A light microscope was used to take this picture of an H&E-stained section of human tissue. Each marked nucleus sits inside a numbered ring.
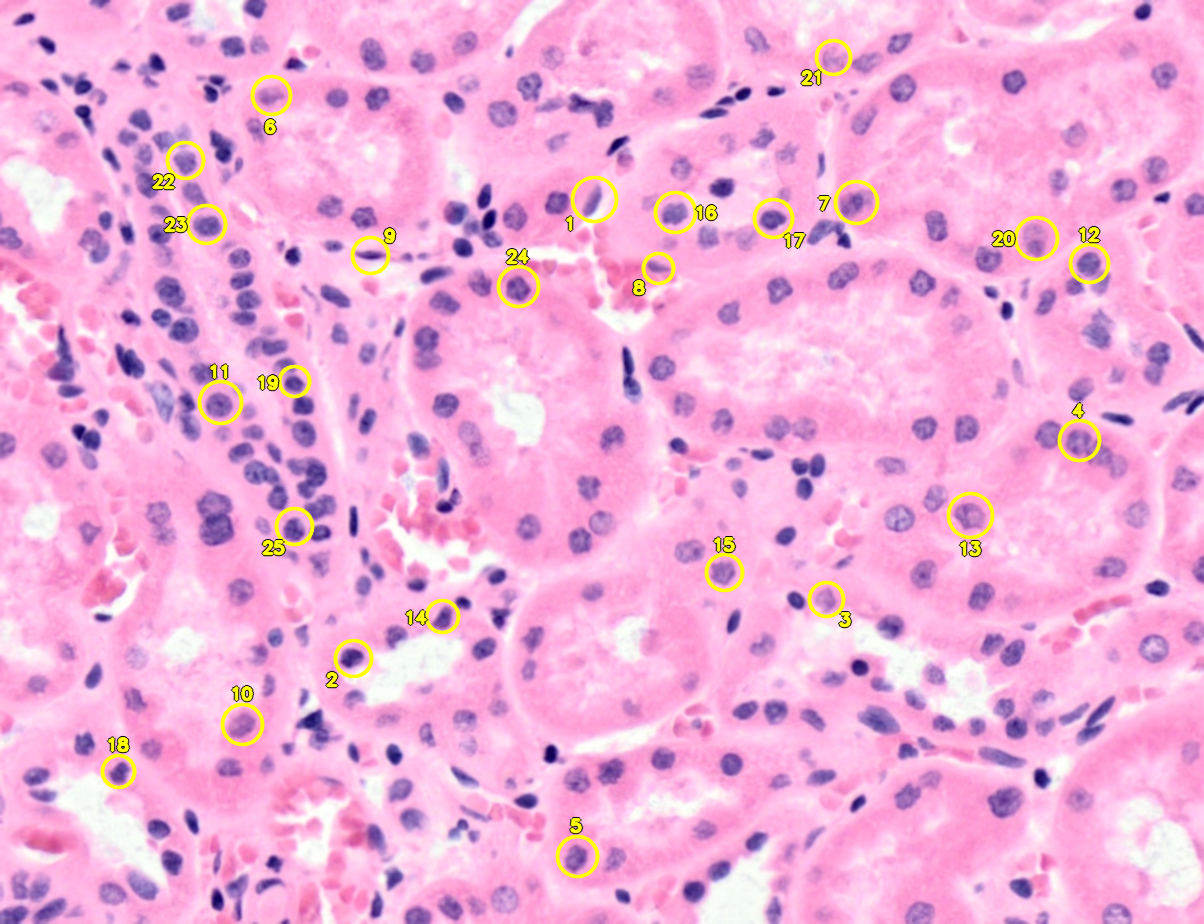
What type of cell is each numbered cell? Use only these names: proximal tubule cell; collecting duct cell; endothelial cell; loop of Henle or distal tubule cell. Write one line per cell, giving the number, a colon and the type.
1: endothelial cell
2: loop of Henle or distal tubule cell
3: loop of Henle or distal tubule cell
4: proximal tubule cell
5: proximal tubule cell
6: proximal tubule cell
7: proximal tubule cell
8: endothelial cell
9: endothelial cell
10: proximal tubule cell
11: collecting duct cell
12: loop of Henle or distal tubule cell
13: proximal tubule cell
14: loop of Henle or distal tubule cell
15: proximal tubule cell
16: loop of Henle or distal tubule cell
17: loop of Henle or distal tubule cell
18: loop of Henle or distal tubule cell
19: collecting duct cell
20: proximal tubule cell
21: proximal tubule cell
22: collecting duct cell
23: collecting duct cell
24: proximal tubule cell
25: collecting duct cell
